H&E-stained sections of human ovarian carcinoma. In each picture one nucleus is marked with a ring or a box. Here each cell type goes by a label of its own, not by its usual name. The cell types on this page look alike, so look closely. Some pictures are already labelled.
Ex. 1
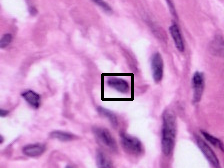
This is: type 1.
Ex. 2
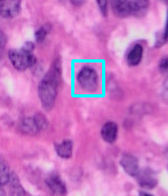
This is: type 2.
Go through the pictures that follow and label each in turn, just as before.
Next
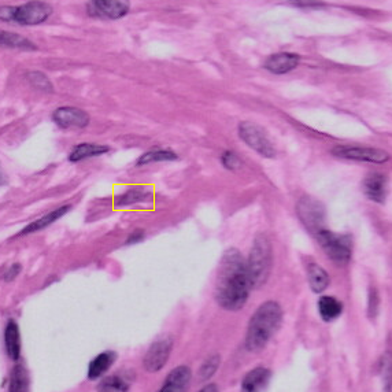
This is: type 1.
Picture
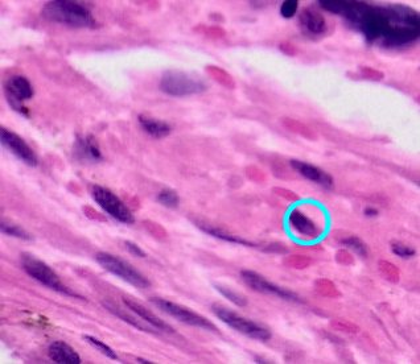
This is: type 1.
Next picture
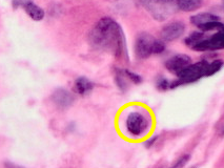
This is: type 2.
